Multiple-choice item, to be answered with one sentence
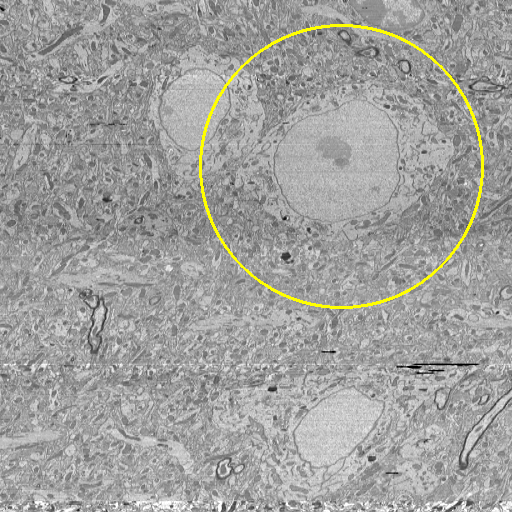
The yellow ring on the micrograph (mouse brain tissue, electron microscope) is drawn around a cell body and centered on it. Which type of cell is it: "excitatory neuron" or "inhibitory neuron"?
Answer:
The ring is centered on an excitatory neuron.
